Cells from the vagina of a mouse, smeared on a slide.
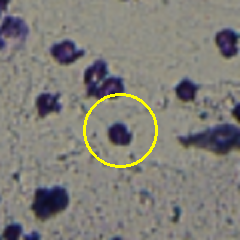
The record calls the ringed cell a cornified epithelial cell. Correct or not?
Not correct; it is a leukocyte.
